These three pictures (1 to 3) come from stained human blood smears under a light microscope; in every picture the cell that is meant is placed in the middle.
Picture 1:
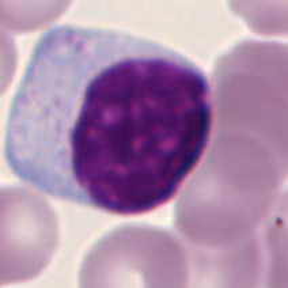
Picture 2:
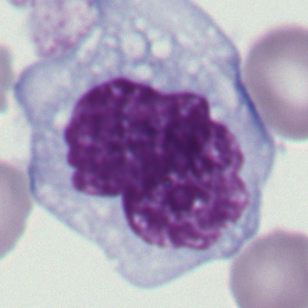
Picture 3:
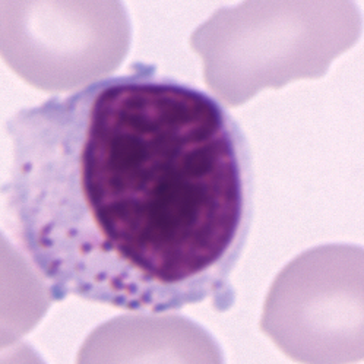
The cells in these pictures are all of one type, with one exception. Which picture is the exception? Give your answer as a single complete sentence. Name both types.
Picture 2 is the odd one out: it shows a monocyte, while the others show large granular lymphocytes.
